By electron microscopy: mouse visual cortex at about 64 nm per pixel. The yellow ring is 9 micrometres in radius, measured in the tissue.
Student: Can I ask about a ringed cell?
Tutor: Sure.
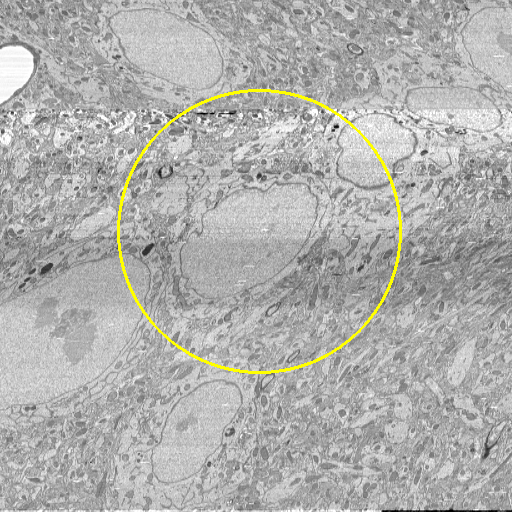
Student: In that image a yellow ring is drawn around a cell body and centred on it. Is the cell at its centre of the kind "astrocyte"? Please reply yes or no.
No, the cell is of another kind.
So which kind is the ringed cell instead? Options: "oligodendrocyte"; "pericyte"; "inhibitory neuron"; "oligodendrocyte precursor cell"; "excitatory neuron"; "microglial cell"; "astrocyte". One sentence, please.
Here, the ring is centred on an inhibitory neuron instead.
